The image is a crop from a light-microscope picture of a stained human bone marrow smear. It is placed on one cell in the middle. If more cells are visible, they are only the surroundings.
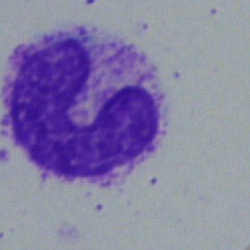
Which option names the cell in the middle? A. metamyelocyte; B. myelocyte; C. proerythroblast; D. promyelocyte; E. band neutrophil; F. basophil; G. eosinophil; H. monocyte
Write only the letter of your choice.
E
